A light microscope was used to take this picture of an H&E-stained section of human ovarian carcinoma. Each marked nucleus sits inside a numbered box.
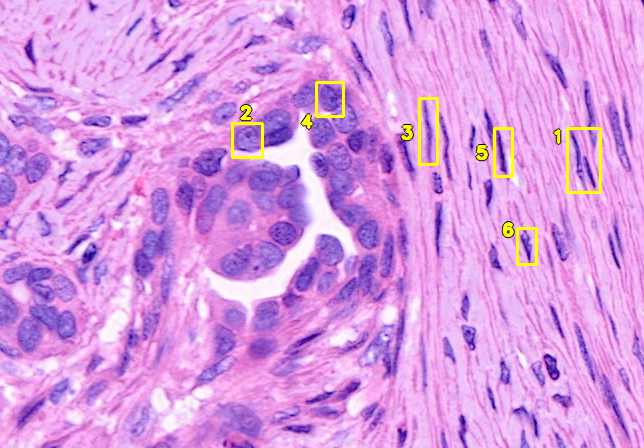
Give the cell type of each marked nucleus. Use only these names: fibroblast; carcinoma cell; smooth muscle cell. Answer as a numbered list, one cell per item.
1. fibroblast
2. carcinoma cell
3. fibroblast
4. carcinoma cell
5. fibroblast
6. fibroblast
